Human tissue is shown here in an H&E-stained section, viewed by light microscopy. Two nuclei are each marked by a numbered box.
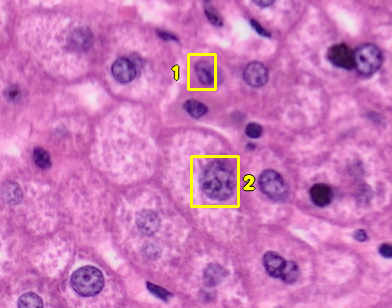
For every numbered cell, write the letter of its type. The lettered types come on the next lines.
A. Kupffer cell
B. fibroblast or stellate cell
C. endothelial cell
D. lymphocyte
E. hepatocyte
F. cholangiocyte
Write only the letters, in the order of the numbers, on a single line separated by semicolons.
A; E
